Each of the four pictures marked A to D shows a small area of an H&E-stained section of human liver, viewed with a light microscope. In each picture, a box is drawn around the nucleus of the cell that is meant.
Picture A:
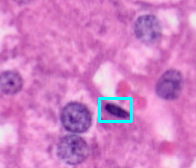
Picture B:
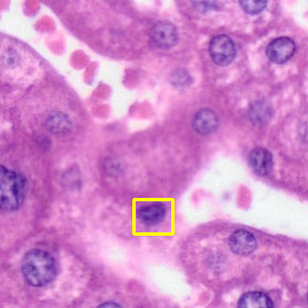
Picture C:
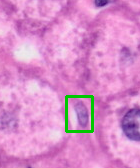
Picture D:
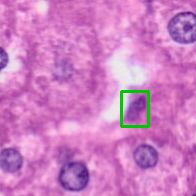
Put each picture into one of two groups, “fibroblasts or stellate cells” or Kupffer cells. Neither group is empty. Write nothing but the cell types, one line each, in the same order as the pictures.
fibroblast or stellate cell
fibroblast or stellate cell
Kupffer cell
Kupffer cell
